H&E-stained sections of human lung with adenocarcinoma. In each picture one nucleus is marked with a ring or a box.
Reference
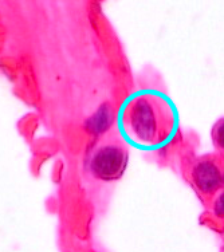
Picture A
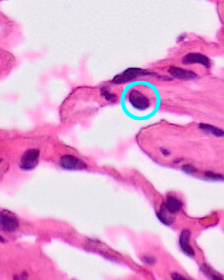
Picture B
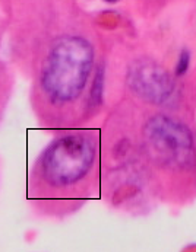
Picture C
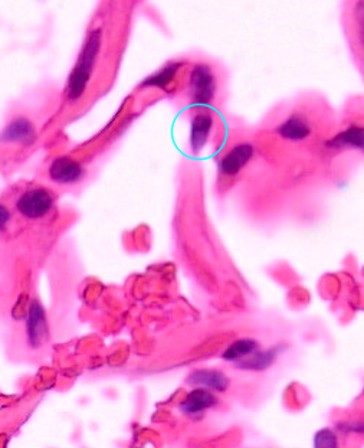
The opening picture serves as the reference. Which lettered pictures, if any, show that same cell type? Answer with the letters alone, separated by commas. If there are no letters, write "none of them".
A, C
